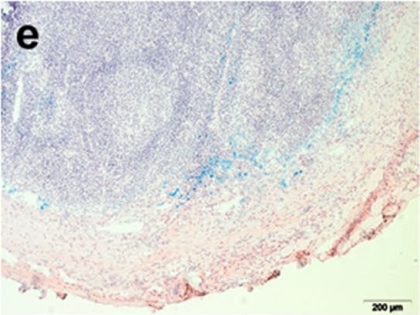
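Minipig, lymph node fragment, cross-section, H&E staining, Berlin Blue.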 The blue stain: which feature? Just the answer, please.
Sinuses.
